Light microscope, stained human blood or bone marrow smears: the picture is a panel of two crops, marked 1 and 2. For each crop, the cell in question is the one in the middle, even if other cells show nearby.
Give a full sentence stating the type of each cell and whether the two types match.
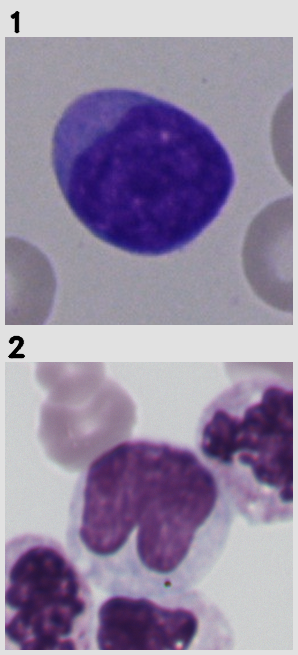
No, a blast is the cell in crop 1; a monocyte is the cell in crop 2.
